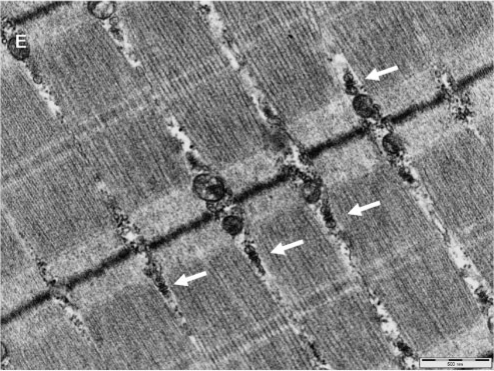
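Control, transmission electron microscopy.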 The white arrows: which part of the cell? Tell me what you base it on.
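Small dark stacked membrane profiles lie between myofibrils. They are placed regularly beside the sarcomere bands, in line with each other. That points to this answer: triads.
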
